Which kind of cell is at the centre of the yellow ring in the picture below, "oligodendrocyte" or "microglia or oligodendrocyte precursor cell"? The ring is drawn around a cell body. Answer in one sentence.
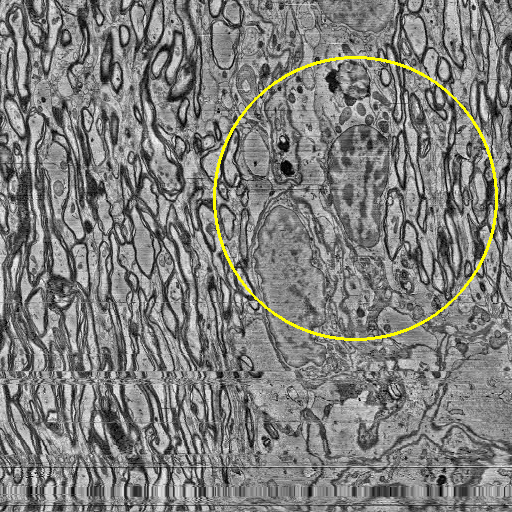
The ring's central cell is a microglial cell or oligodendrocyte precursor cell.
